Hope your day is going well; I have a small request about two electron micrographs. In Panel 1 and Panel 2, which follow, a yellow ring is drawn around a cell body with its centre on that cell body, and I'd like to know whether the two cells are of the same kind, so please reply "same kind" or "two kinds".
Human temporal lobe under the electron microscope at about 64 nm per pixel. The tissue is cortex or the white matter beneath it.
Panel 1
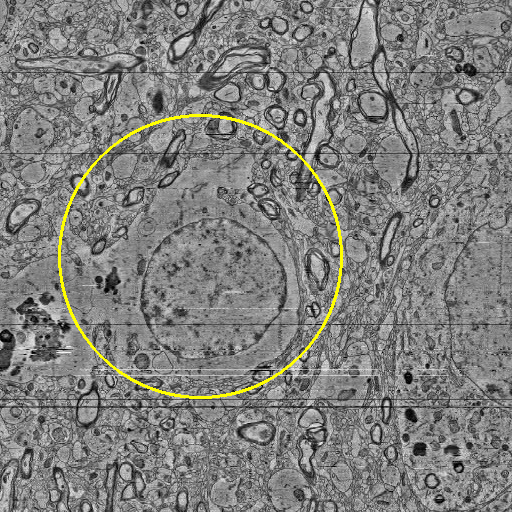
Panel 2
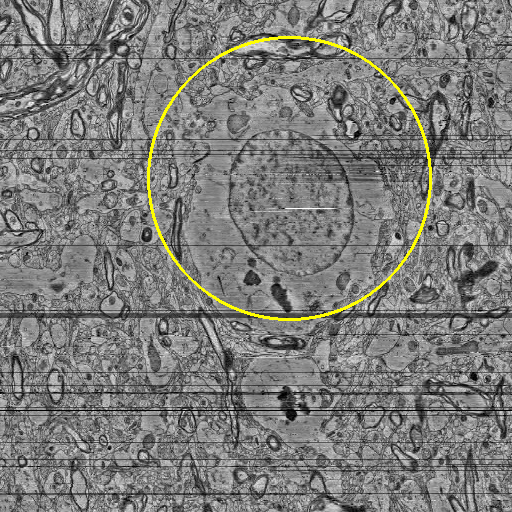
same kind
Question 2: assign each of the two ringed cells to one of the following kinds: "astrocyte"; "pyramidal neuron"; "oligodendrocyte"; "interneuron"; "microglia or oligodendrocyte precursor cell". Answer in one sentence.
Both cells are the same kind, each one being an astrocyte.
